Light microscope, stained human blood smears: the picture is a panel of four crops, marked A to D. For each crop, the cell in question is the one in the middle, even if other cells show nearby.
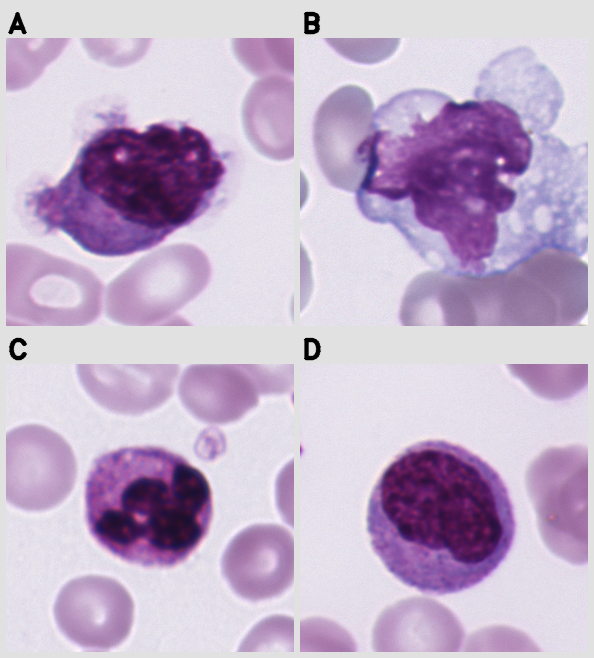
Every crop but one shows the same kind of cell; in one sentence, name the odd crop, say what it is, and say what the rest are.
Identified in crop C is a segmented neutrophil, whereas the other crops all show monocytes.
